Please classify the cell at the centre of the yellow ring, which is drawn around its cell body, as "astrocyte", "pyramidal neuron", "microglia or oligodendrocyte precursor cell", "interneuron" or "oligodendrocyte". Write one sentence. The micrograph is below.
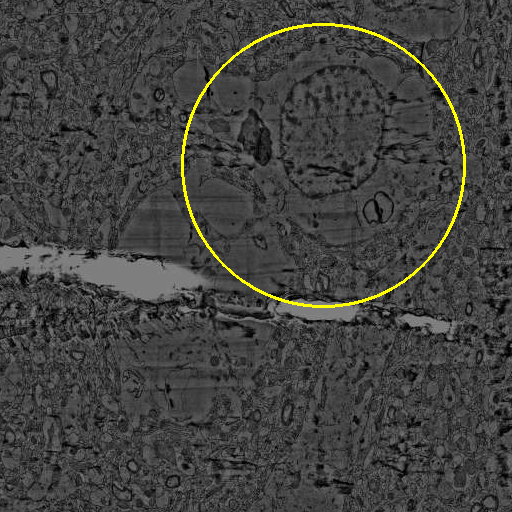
The cell at the ring's centre is classified as an astrocyte.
